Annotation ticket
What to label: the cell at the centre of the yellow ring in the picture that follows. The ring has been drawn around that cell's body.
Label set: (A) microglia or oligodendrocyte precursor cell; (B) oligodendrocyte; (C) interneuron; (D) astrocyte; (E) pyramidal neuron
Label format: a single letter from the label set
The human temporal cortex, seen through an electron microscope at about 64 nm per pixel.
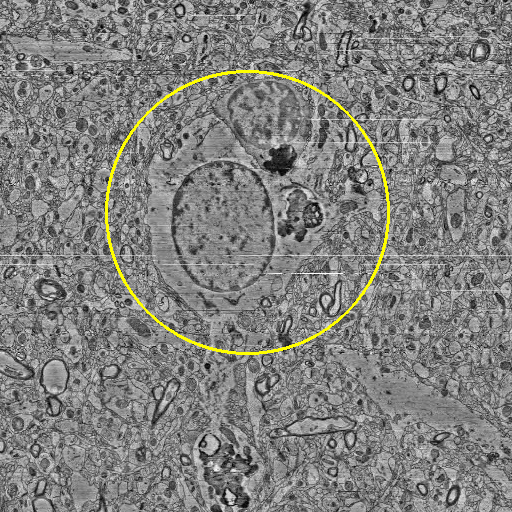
D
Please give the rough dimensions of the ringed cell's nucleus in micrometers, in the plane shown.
About 8 by 7 micrometres in this plane.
